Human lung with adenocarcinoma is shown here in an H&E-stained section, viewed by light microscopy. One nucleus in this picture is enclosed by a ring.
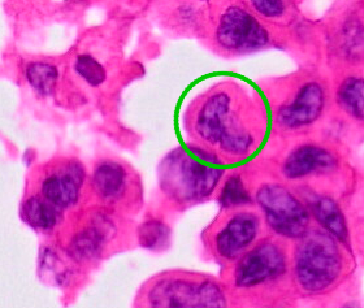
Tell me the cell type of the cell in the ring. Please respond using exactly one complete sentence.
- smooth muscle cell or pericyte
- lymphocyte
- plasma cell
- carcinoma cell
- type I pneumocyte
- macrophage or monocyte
Among the cells in this section, the cell in the ring is a carcinoma cell.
